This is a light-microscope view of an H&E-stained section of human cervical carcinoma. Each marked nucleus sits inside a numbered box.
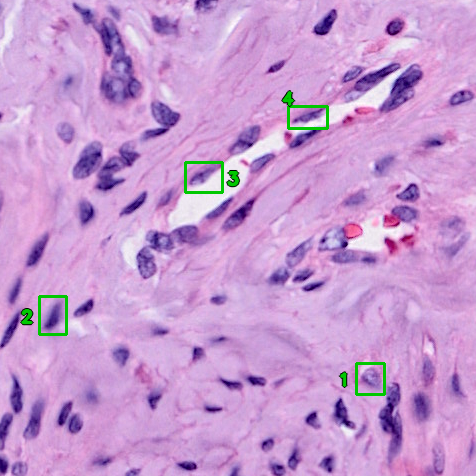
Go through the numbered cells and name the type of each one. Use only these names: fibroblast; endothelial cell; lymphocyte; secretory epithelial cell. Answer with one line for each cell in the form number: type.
1: endothelial cell
2: fibroblast
3: endothelial cell
4: endothelial cell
